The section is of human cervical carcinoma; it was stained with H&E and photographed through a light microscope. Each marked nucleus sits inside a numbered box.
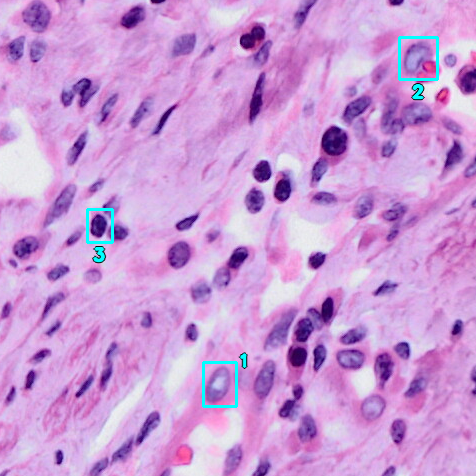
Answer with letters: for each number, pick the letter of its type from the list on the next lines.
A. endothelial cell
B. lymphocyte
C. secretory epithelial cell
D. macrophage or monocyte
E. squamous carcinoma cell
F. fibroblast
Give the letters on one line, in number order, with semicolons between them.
A; A; B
